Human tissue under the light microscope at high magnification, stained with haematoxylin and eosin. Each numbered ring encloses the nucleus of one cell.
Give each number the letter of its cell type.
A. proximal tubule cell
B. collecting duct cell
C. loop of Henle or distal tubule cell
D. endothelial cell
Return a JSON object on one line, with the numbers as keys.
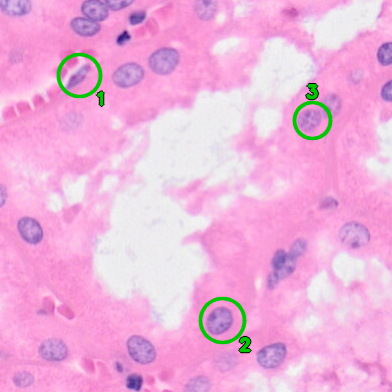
{"1": "D", "2": "A", "3": "A"}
